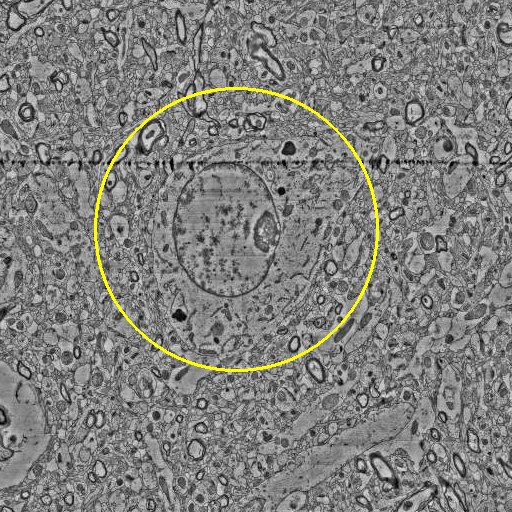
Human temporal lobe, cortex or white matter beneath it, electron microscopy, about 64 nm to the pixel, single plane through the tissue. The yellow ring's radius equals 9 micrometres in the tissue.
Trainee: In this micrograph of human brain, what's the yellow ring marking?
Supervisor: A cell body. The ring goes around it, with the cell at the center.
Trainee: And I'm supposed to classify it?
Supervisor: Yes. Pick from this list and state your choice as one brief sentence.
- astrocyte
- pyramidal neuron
The cell at the ring's center is a pyramidal neuron.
